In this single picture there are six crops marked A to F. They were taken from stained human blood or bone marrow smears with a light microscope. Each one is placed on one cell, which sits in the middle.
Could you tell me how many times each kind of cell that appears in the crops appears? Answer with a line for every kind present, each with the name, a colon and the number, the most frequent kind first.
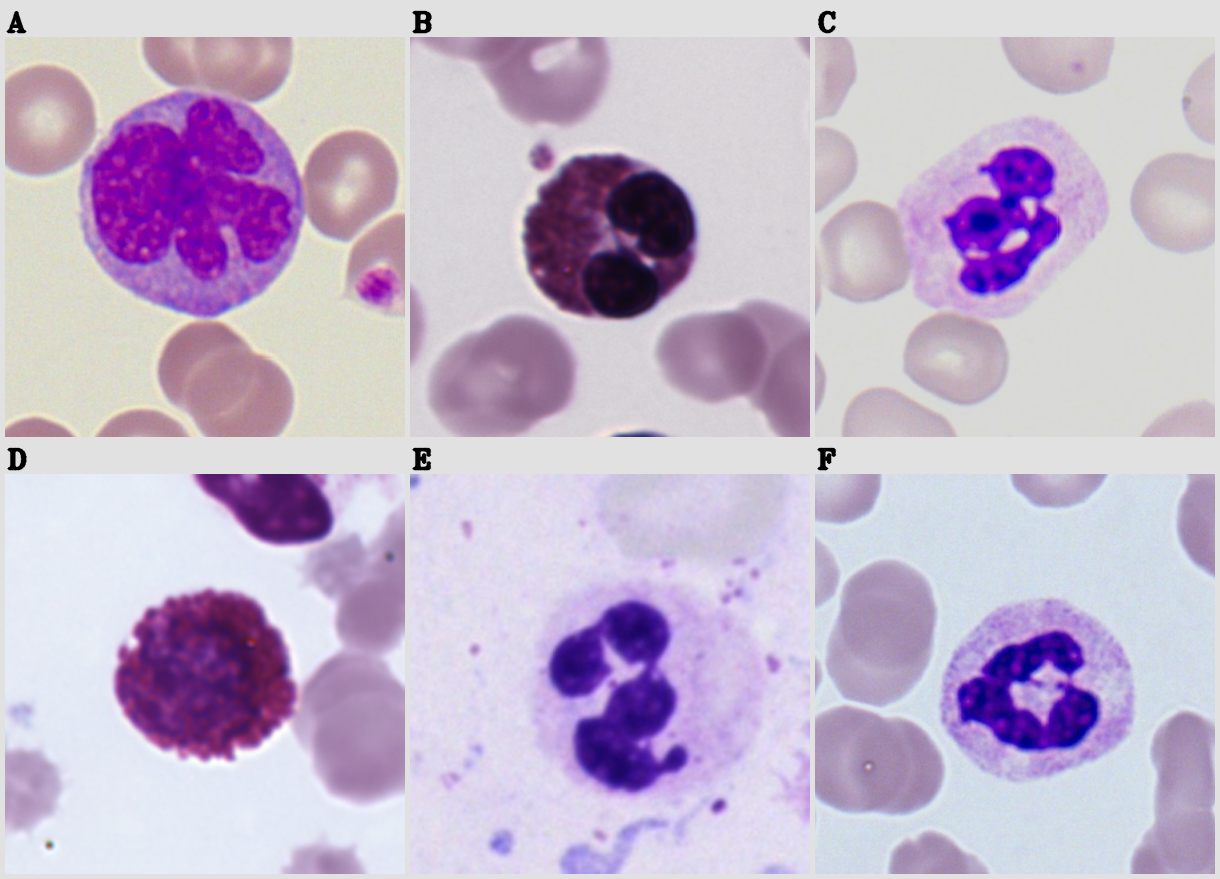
segmented neutrophil: 3
eosinophil: 2
monocyte: 1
